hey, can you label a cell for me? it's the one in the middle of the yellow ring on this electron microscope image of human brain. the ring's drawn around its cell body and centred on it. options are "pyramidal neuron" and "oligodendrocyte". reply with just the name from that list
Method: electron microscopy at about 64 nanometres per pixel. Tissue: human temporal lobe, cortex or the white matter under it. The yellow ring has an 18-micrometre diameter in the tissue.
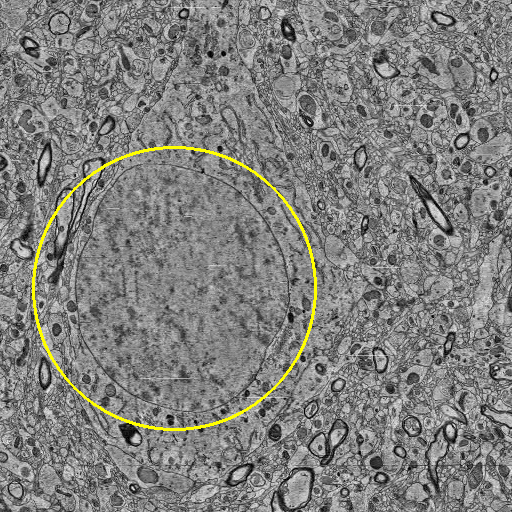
pyramidal neuron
